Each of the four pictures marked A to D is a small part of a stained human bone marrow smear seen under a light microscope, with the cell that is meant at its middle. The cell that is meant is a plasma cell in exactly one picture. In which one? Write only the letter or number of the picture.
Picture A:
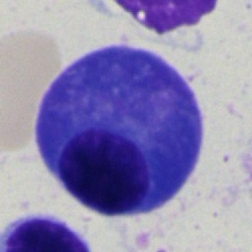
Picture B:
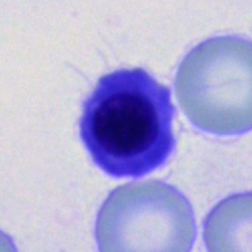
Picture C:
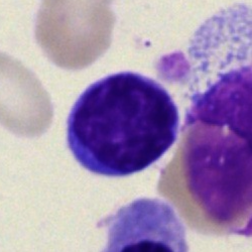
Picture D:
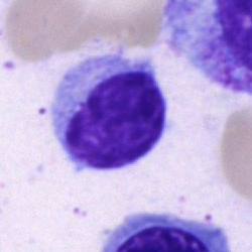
A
